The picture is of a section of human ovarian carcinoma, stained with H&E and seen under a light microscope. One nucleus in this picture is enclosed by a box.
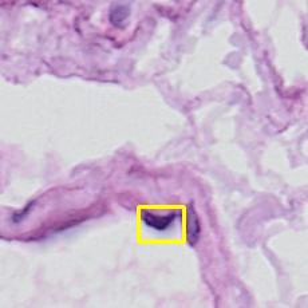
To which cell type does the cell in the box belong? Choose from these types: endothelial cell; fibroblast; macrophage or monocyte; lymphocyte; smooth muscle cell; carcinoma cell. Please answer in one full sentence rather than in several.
Cell type answer for this item: the cell in the box is an endothelial cell.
